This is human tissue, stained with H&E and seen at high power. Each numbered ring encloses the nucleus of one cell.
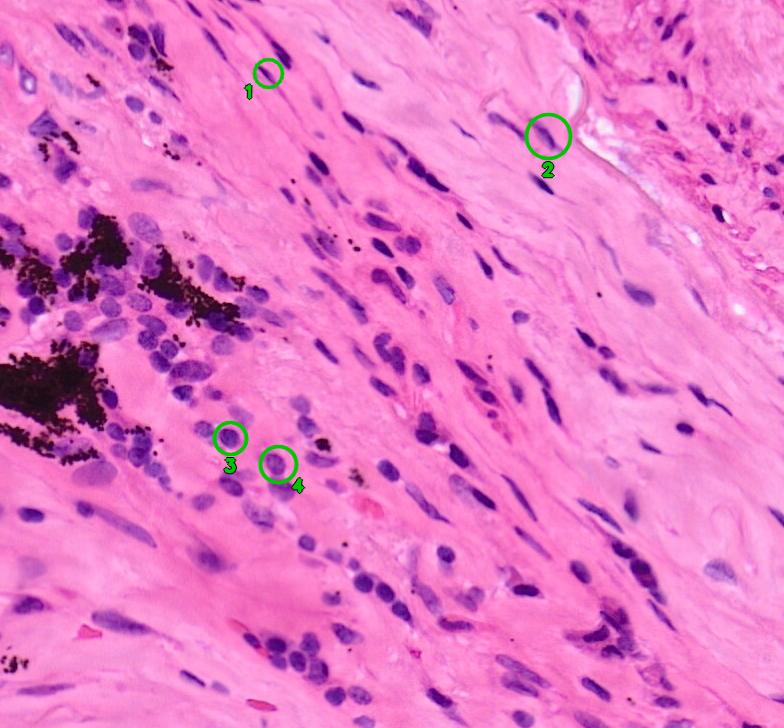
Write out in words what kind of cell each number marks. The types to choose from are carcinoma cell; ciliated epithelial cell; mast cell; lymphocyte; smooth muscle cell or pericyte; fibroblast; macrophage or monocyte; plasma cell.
Cells 1 and 2 are fibroblasts. Cells 3 and 4 are lymphocytes.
